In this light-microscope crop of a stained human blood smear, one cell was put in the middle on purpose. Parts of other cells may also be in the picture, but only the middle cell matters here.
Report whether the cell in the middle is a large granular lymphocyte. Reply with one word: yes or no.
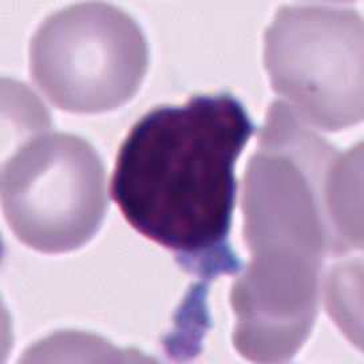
no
